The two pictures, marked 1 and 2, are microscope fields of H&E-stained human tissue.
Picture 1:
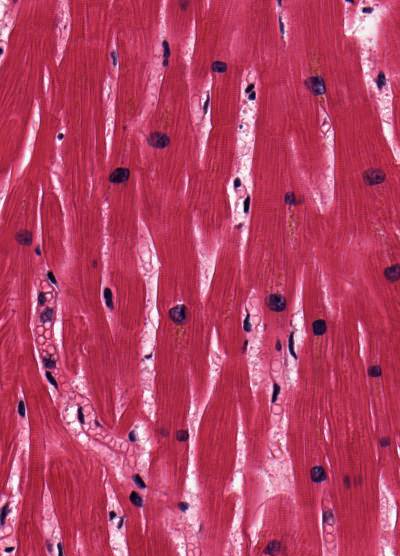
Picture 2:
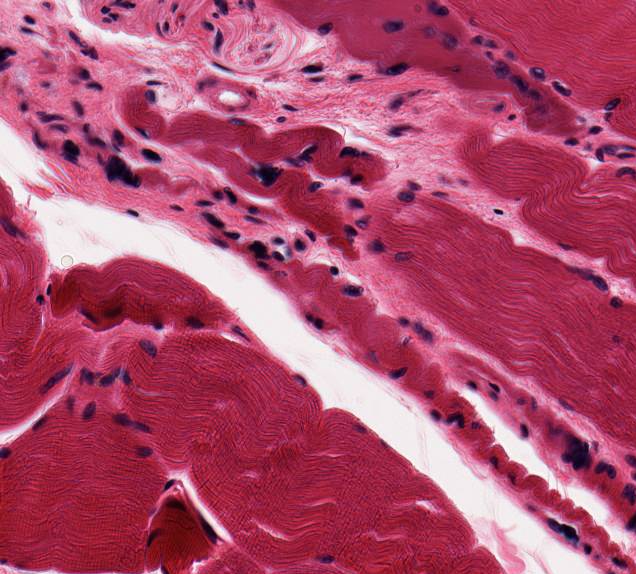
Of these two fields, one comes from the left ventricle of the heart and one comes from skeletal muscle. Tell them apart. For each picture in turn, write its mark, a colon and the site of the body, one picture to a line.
1: left ventricle of the heart
2: skeletal muscle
